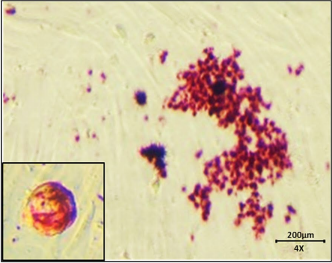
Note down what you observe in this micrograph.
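A large irregular cluster of small round red-purple droplets sits to one side, with a few scattered droplets and darker purple specks nearby. The background cells are flat and pale, barely visible as faint streaks. The inset enlarges one rounded cell whose cytoplasm is packed with red-orange droplets.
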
